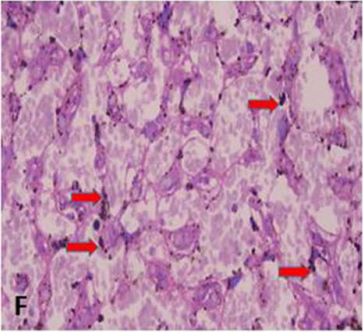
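This is the labyrinth zone of the placenta, with a network of pale pink trophoblast cords around many open spaces. Dark brown-black granular pigment is deposited diffusely within the trophoblast along the borders of these spaces, and the tissue looks pale and loosened.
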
